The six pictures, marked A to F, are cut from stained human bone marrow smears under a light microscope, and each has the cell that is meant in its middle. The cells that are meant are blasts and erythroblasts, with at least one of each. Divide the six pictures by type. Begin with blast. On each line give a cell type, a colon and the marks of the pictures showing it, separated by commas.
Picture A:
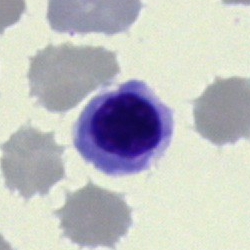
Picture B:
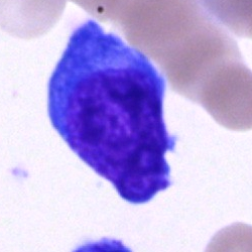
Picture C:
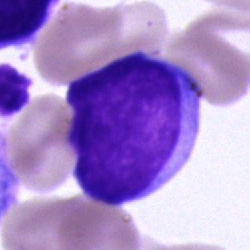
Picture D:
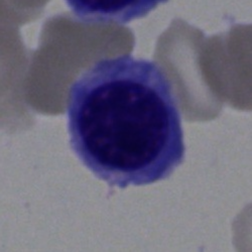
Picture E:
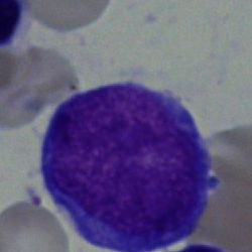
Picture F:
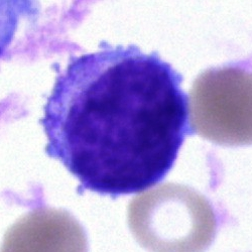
blast: B, C, E, F
erythroblast: A, D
